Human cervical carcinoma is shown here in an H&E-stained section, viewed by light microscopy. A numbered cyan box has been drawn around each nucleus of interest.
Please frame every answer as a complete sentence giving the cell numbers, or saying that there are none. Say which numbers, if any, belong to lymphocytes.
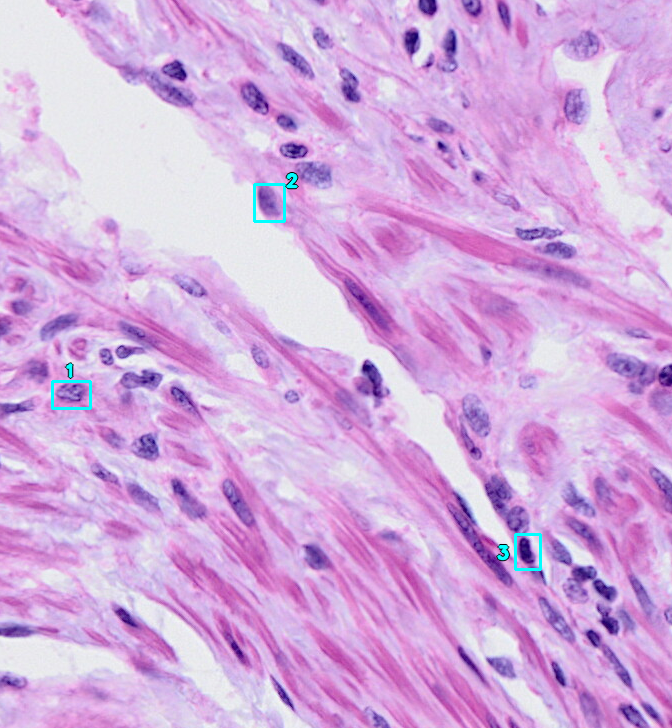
Only one marked cell, number 3, is a lymphocyte.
